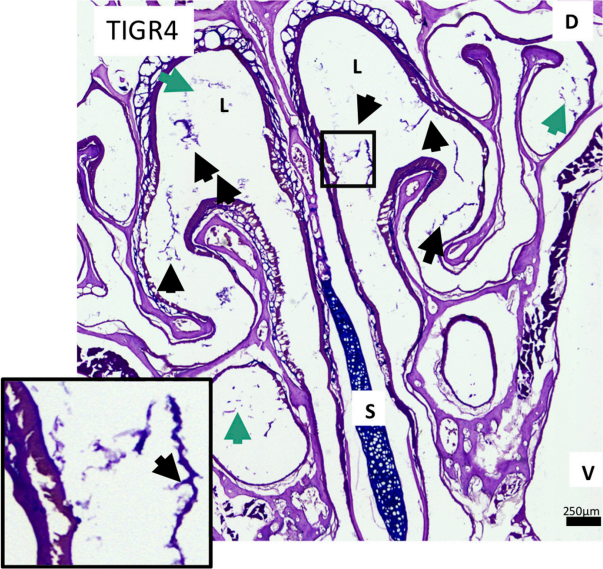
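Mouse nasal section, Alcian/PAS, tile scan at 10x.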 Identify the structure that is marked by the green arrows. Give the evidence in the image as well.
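Faint bluish-purple wispy strands lie in the lumen. The strands are thin and stringy rather than cellular. On this evidence: mucus.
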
